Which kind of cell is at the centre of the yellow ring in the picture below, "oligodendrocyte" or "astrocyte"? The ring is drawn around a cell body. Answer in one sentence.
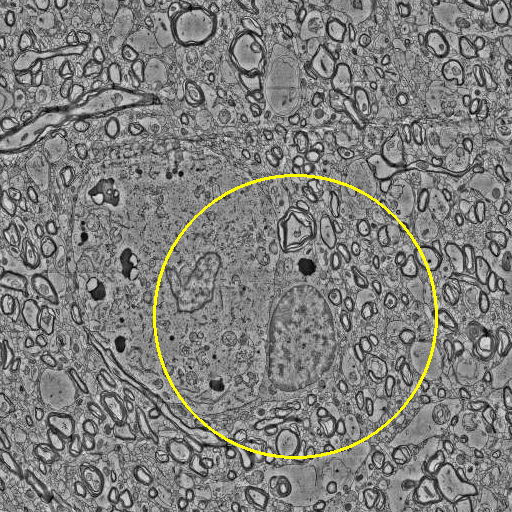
The ring's central cell is an oligodendrocyte.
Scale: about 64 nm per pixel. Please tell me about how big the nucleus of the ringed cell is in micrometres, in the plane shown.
Roughly 7 by 4 micrometres; in this plane, clearly longer than it is wide.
